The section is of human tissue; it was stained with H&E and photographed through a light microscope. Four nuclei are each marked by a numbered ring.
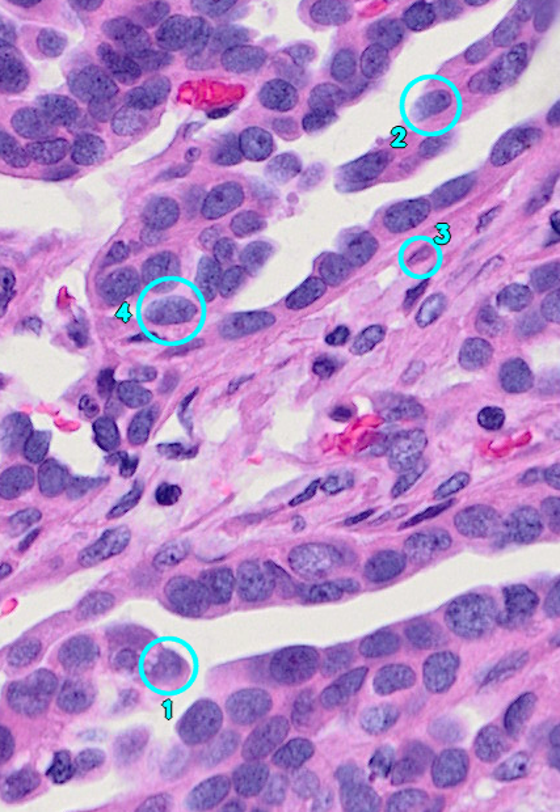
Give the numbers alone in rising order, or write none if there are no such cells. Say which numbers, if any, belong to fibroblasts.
3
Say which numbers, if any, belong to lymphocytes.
none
